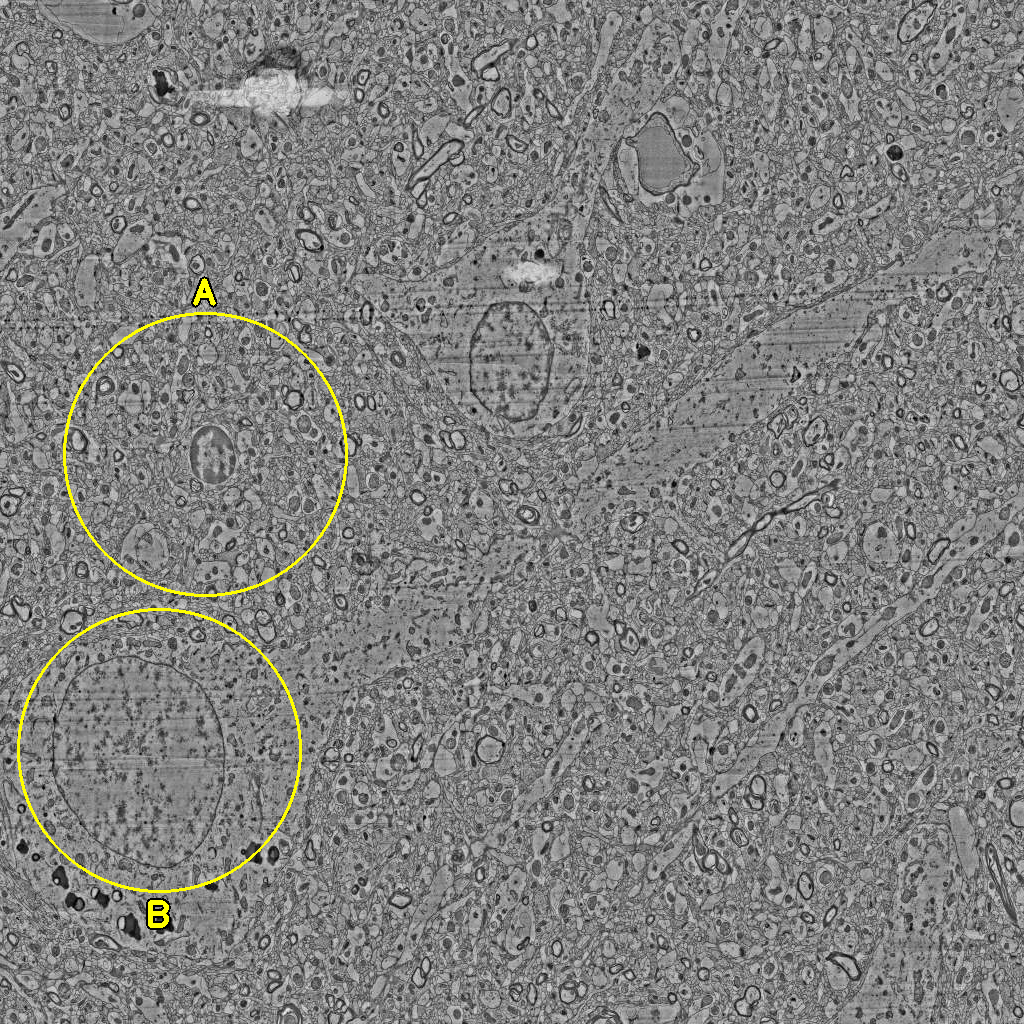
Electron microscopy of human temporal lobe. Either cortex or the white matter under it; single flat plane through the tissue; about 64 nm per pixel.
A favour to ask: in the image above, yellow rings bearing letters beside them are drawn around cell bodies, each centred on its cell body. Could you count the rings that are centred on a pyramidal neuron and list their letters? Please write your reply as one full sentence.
Only one ring, marked with B, has its centre on a pyramidal neuron.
